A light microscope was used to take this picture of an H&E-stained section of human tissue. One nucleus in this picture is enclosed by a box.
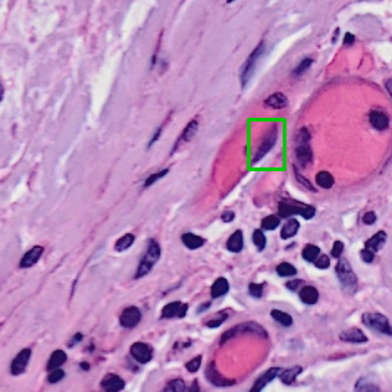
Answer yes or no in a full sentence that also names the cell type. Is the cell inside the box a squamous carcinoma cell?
No, rather than being a squamous carcinoma cell, the cell inside the box is an endothelial cell.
